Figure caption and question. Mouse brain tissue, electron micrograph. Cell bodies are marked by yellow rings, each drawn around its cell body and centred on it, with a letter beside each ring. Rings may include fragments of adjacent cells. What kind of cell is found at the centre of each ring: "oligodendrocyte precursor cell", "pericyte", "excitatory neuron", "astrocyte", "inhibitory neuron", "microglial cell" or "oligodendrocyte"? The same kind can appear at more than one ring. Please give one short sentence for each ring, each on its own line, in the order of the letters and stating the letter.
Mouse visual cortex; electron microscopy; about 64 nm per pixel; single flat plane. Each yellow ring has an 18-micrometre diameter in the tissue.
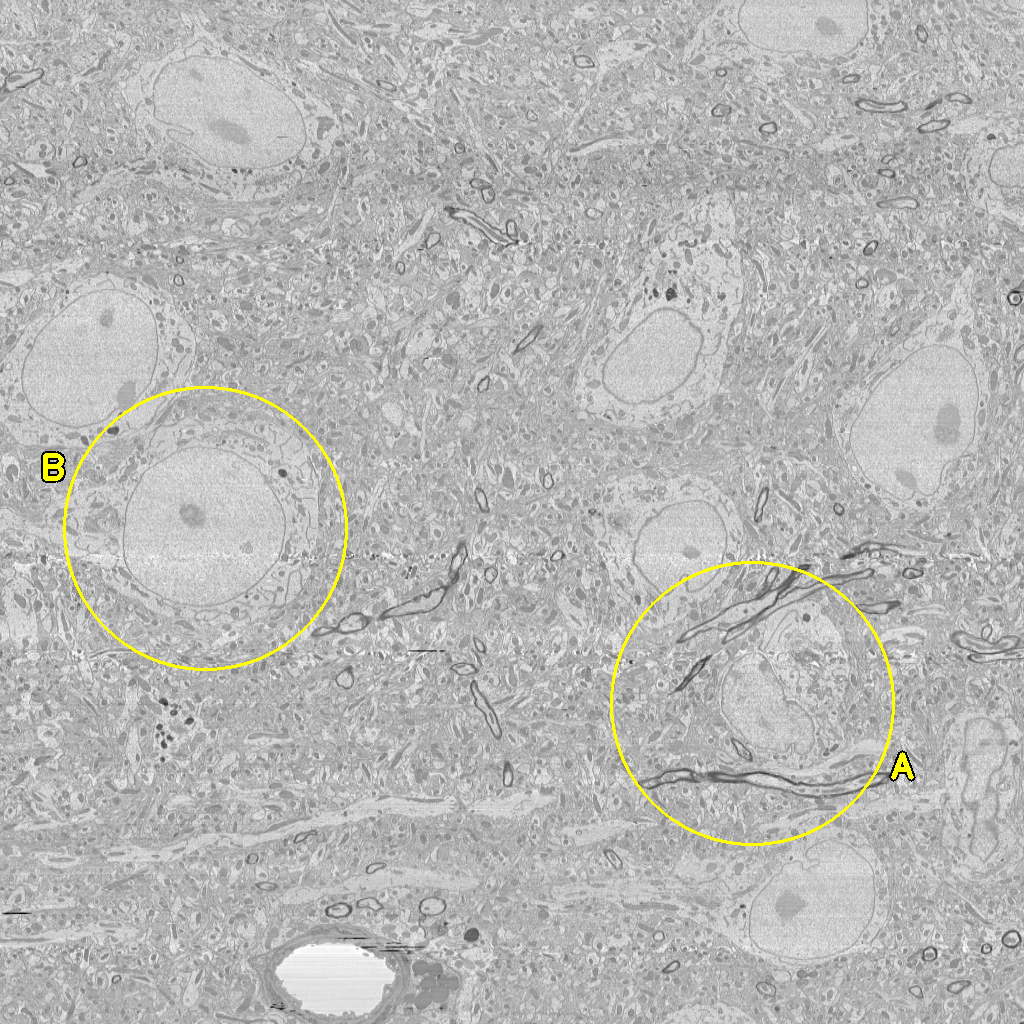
The centre of ring A falls on an oligodendrocyte precursor cell.
The centre of ring B falls on an excitatory neuron.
